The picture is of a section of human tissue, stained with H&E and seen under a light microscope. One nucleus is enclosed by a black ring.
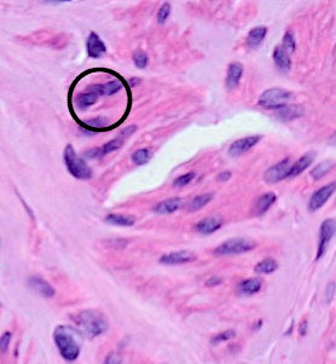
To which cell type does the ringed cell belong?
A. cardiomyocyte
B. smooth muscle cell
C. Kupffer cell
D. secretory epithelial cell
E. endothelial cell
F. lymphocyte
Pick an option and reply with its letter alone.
B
